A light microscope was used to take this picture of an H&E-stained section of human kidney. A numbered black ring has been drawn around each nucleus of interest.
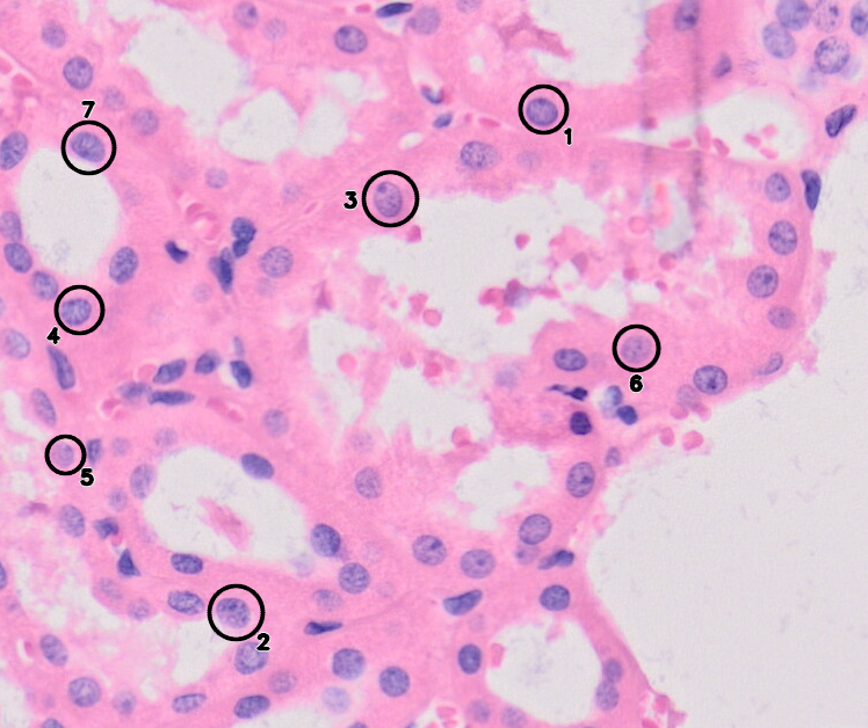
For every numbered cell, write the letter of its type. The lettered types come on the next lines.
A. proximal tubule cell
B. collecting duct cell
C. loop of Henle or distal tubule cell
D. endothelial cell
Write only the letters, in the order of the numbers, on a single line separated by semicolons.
A; C; A; C; C; A; C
